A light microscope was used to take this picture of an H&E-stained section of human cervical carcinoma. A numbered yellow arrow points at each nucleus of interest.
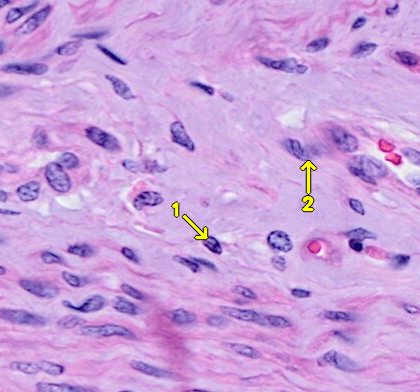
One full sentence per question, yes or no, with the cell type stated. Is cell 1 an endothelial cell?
No, as for cell 1, it is a lymphocyte and not an endothelial cell.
